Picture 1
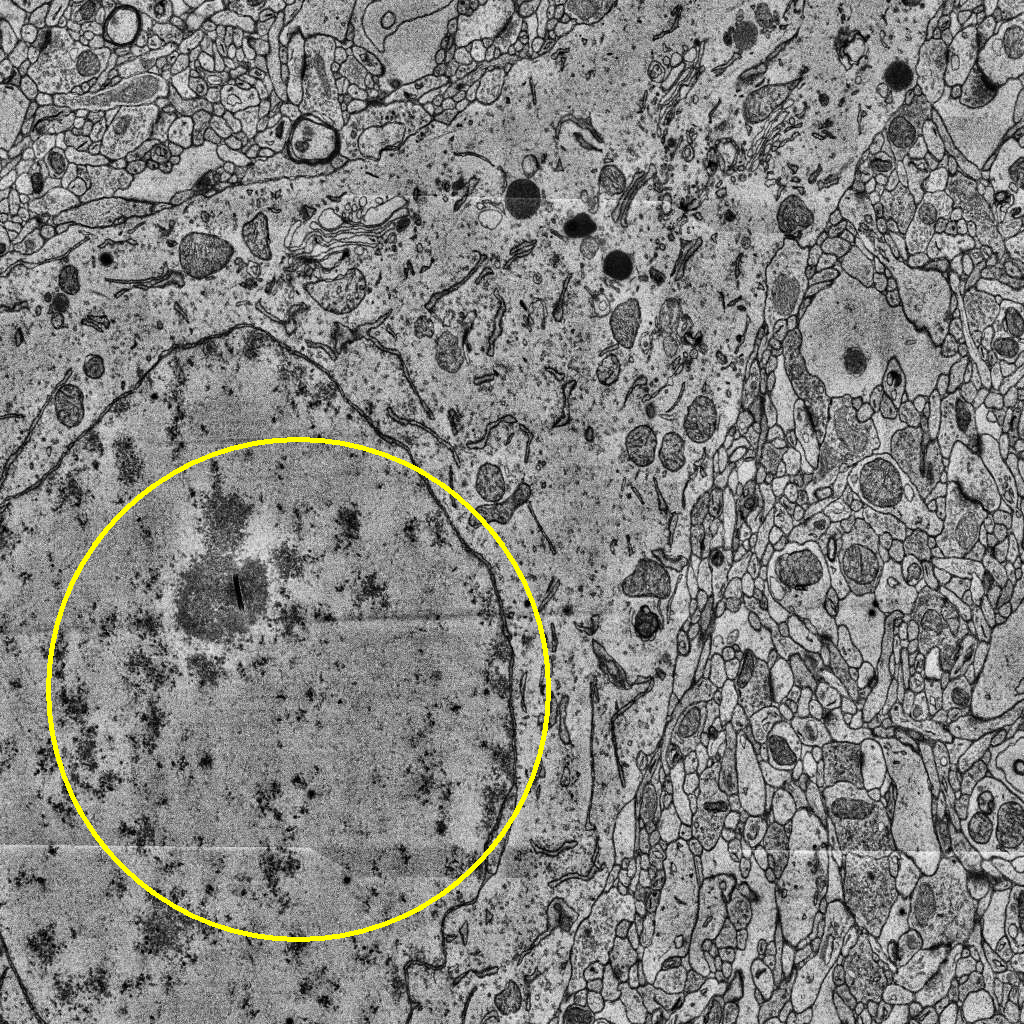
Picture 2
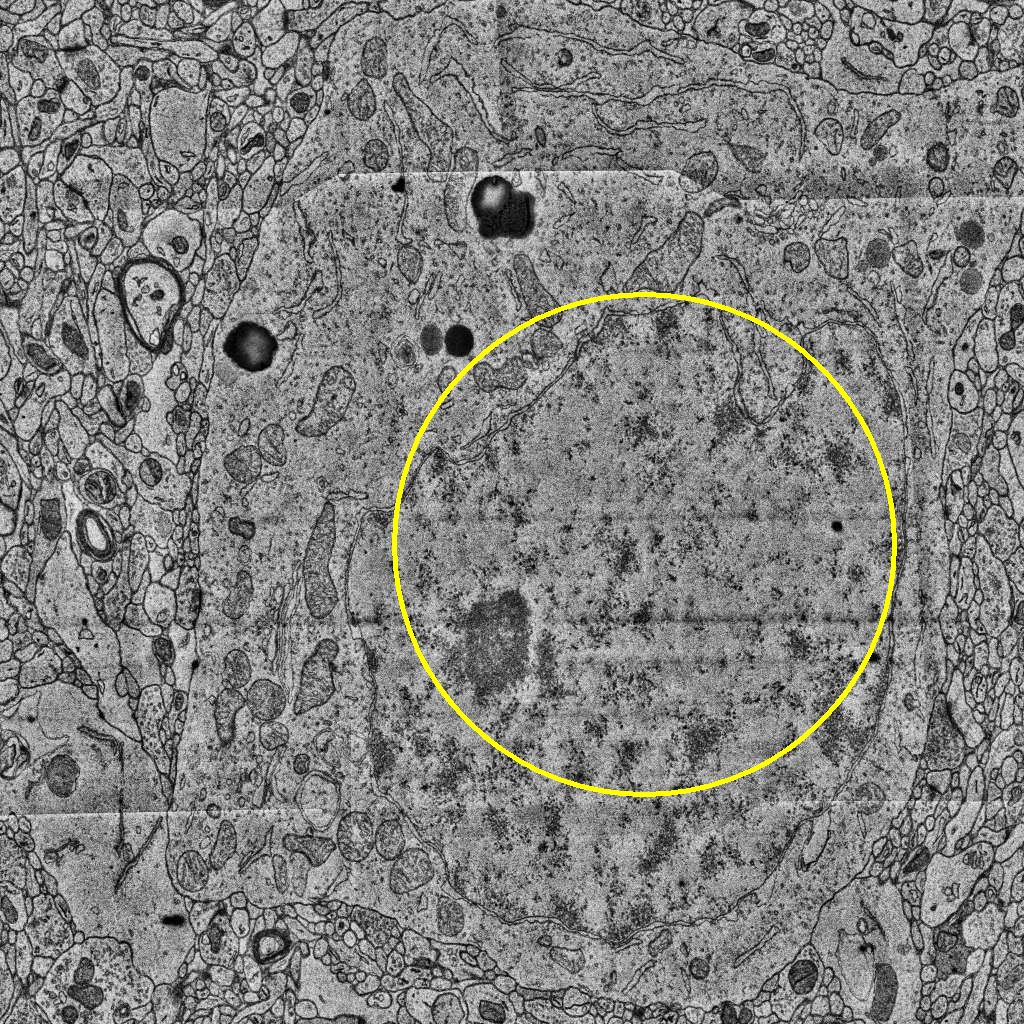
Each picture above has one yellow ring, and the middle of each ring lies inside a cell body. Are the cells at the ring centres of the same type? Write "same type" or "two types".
two types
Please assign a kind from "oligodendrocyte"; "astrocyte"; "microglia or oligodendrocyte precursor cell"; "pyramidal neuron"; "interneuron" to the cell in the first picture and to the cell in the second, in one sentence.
The first picture has a pyramidal neuron at its ring centre, and the second has an interneuron.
